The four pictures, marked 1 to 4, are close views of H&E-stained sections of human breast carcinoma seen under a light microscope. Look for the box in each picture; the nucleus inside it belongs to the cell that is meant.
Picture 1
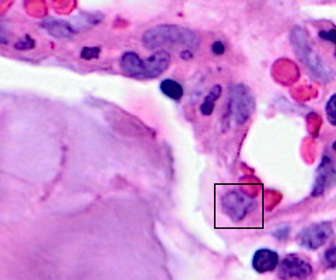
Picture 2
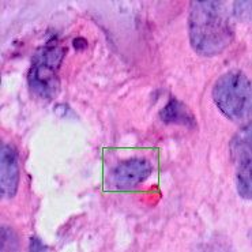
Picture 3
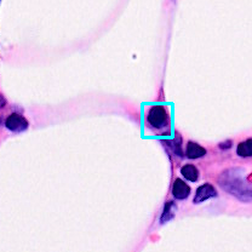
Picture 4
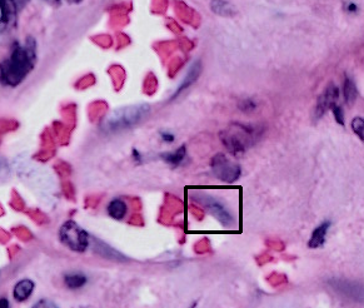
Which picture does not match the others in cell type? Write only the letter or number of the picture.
3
